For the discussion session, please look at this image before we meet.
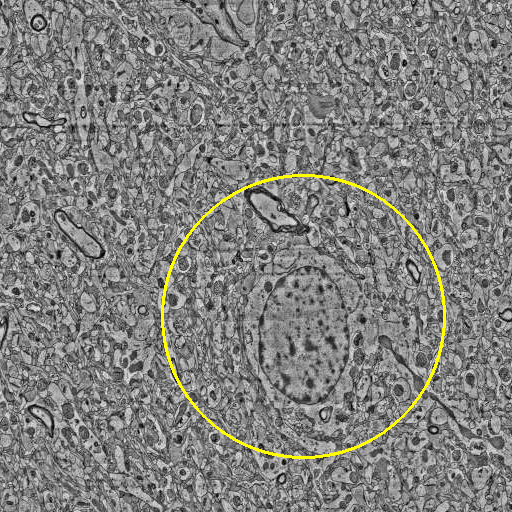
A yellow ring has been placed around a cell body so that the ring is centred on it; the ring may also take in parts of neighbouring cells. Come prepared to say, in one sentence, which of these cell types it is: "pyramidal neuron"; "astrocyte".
The cell centred in the ring is an astrocyte.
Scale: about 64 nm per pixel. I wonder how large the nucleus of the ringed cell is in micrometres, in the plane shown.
The nucleus of the ringed cell is approximately 9 by 6 micrometres in this plane.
